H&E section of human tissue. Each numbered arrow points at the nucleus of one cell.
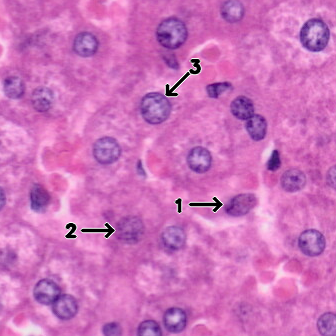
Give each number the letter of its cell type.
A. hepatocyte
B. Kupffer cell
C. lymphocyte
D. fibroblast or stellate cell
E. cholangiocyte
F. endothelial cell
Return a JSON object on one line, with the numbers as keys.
{"1": "B", "2": "A", "3": "A"}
